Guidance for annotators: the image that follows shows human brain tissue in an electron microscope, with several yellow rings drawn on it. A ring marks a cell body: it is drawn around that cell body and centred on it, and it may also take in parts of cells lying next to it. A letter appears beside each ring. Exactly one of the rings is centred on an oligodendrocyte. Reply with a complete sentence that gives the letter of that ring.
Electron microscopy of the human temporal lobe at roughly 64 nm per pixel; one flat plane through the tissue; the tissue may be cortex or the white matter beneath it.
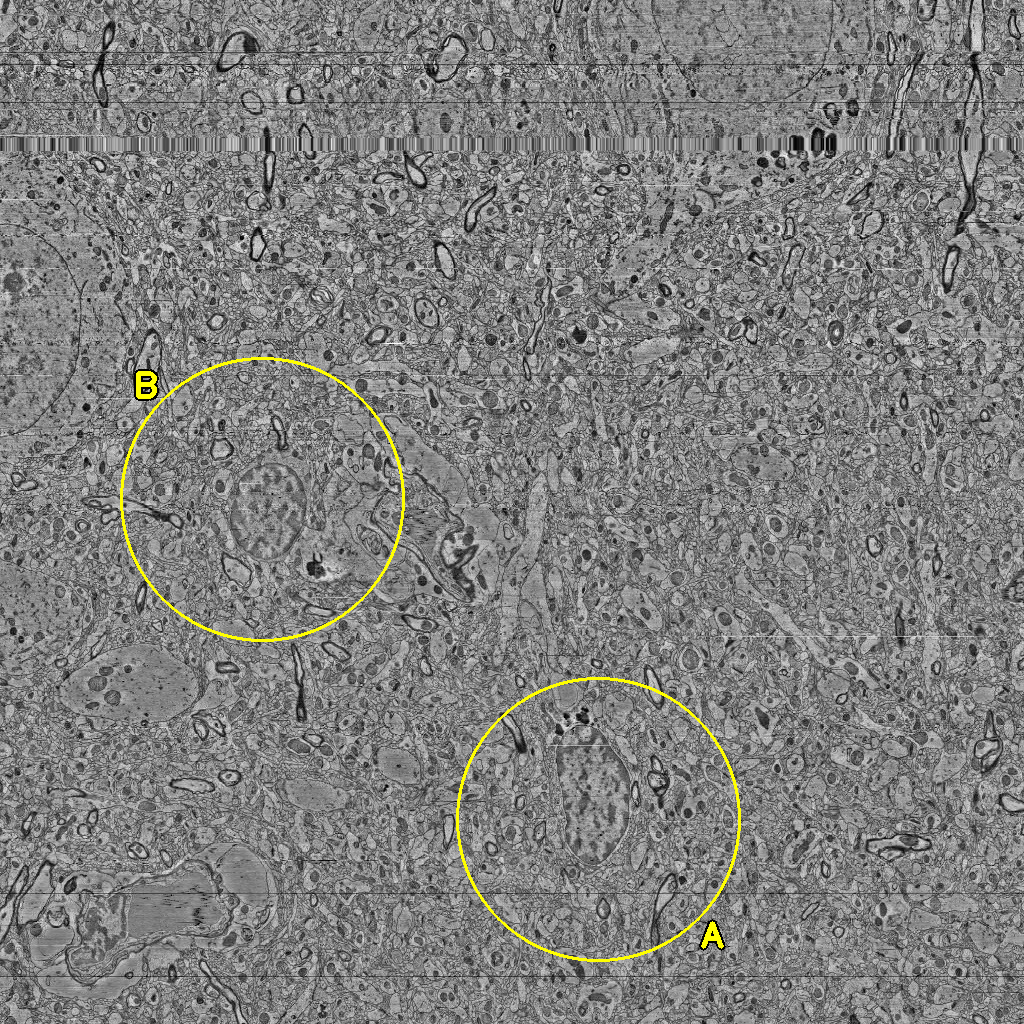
The ring lettered B is centred on that cell.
